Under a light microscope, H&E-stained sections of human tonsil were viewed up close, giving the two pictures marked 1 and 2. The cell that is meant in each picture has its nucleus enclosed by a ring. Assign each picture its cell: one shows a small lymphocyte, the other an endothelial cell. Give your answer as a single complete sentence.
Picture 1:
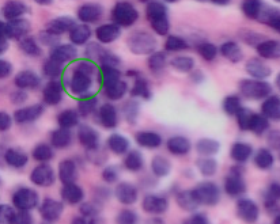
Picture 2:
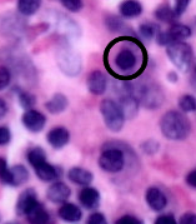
It is picture 1 that shows a small lymphocyte, and picture 2 that shows an endothelial cell.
